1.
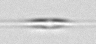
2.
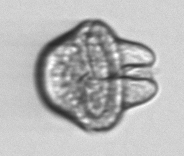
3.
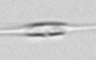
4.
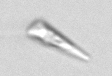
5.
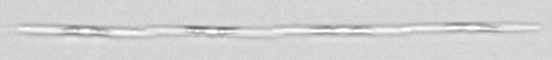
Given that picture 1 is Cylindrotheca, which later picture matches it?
3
